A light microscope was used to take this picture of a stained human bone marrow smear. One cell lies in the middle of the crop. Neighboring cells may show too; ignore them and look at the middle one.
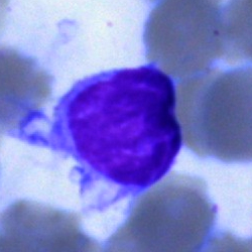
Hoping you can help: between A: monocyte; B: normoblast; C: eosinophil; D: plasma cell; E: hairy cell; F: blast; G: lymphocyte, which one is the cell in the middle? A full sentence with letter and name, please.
The one cell at the centre is a hairy cell, as correctly stated in option E.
